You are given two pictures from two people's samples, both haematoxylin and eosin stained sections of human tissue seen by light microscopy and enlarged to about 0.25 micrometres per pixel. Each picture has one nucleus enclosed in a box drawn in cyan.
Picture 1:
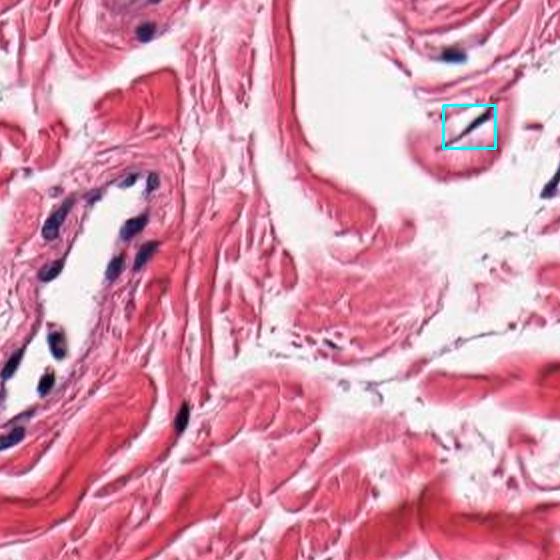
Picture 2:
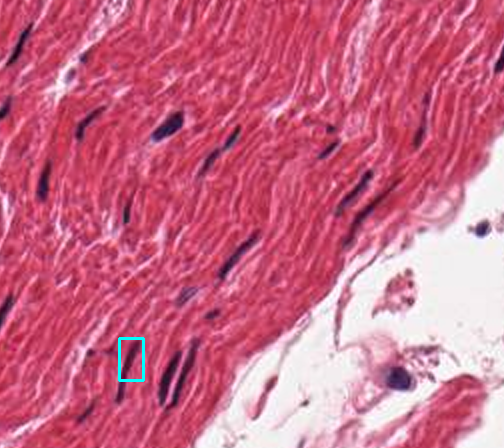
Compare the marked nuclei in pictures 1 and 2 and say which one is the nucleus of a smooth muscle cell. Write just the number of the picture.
2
